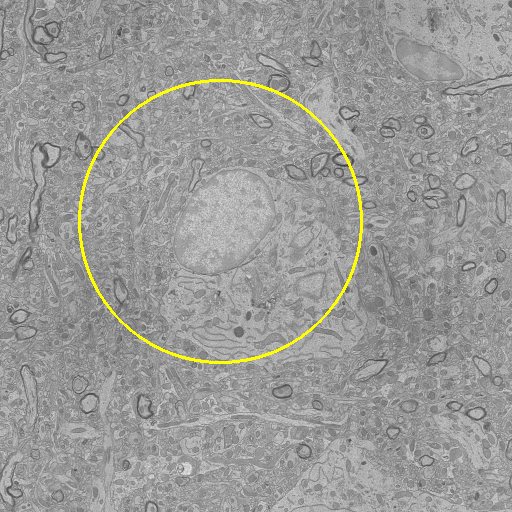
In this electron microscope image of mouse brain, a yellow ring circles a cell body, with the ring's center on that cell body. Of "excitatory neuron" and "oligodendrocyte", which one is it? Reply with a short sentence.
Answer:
It is an oligodendrocyte at the center of the ring.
